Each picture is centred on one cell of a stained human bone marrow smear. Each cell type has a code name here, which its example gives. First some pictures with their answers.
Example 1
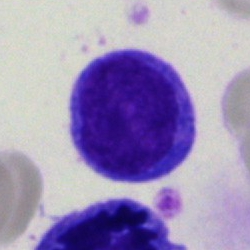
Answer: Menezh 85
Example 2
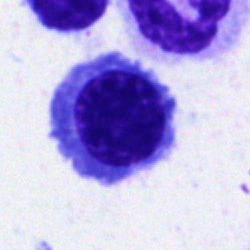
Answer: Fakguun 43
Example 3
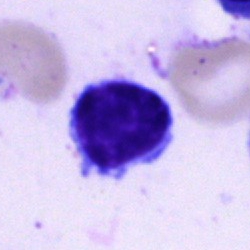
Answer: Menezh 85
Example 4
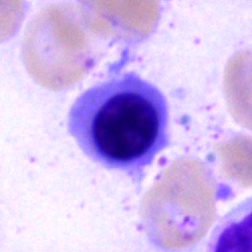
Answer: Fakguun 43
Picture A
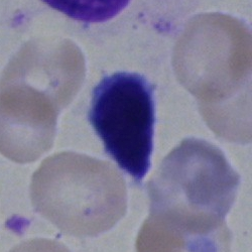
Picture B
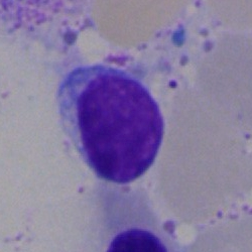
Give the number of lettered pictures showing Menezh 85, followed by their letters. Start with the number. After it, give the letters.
2: A, B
